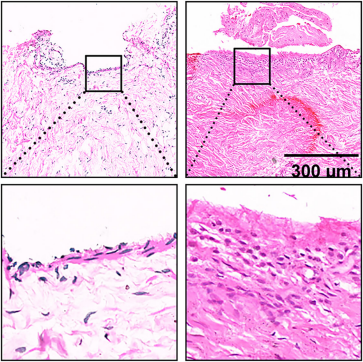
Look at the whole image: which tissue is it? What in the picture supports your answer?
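A thin cellular lining layer sits on the free surface of the tissue. Beneath the lining lies loose pink fibrous connective tissue.
Synovium.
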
